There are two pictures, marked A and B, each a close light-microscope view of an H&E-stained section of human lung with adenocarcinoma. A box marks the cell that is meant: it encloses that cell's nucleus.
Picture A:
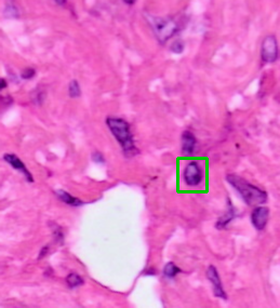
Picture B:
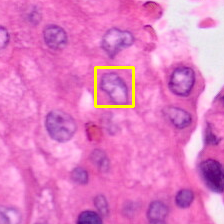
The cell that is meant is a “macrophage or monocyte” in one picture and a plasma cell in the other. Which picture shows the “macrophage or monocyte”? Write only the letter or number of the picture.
B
